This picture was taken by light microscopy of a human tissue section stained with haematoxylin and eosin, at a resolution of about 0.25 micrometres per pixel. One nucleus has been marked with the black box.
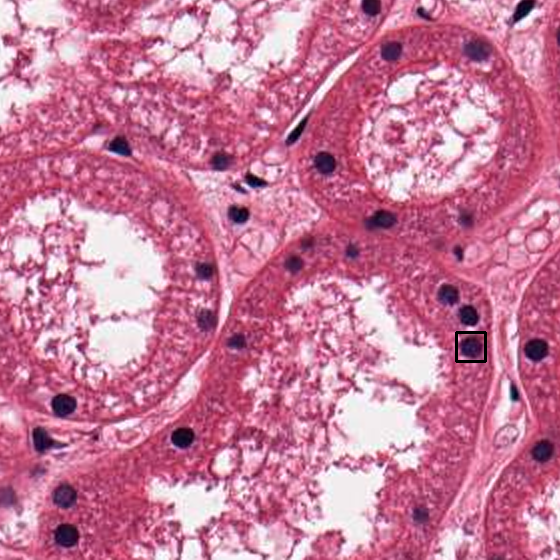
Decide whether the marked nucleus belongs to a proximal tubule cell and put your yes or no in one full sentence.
Yes, the cell to which the marked nucleus belongs is a proximal tubule cell.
